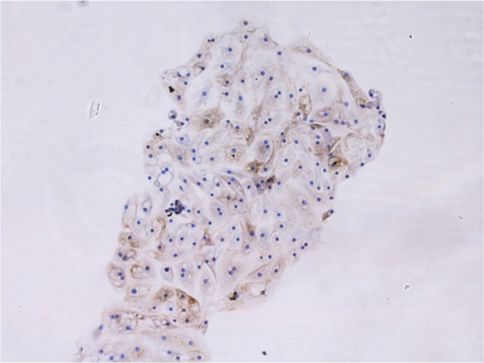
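A flat, irregular sheet of epithelial cells lies on the substrate. The cells are polygonal and closely packed, each with a small, round, blue-stained nucleus. Their cytoplasm is pale, and many cells show a light to moderate brown stain, while others are nearly unstained. The sheet has an uneven, lobed outline against the clear background.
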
